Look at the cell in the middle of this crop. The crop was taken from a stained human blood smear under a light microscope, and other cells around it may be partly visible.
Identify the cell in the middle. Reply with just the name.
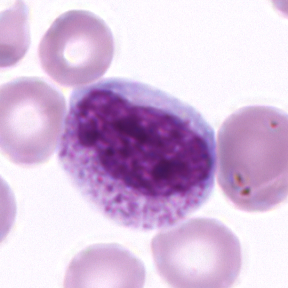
metamyelocyte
